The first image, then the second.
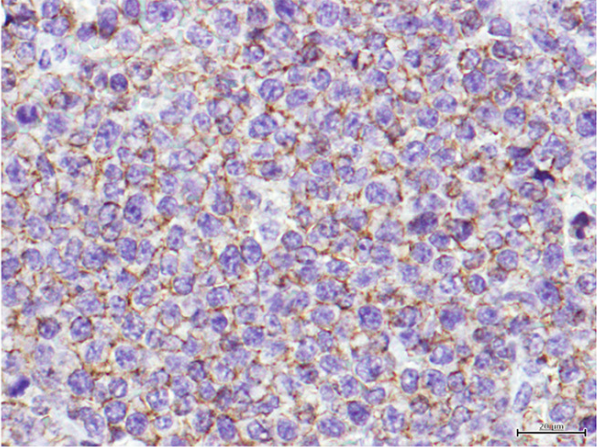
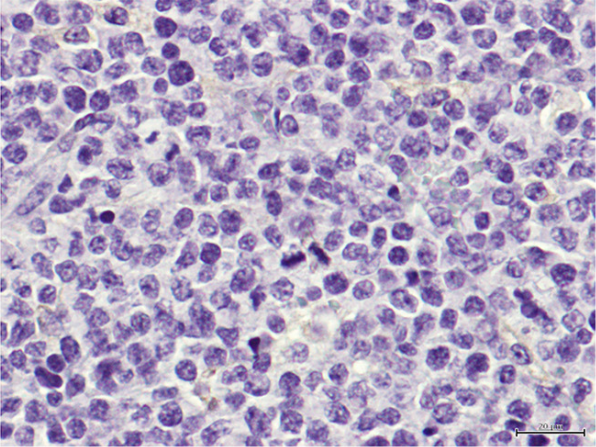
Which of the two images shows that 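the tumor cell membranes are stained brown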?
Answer: the first image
